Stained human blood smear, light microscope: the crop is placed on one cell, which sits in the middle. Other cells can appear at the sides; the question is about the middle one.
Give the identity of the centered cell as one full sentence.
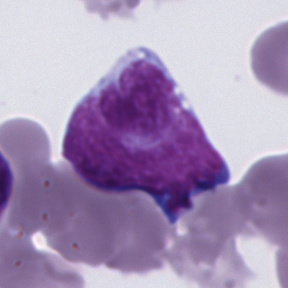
The cell at the heart of this crop is a blast.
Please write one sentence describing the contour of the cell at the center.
The outline of this cell is not smooth but ragged or drawn out into projections.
